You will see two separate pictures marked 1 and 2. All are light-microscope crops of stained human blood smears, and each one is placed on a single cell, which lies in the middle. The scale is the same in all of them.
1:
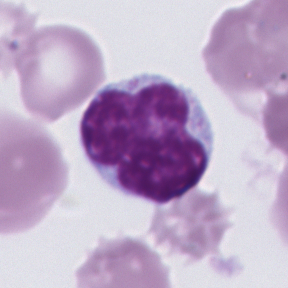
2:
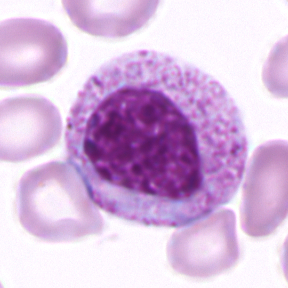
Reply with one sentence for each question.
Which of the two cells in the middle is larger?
Picture 2 holds the larger cell; it covers about 2 times the area of the cell in picture 1.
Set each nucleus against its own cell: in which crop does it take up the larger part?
It is the cell in picture 1 that is filled more by its nucleus.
